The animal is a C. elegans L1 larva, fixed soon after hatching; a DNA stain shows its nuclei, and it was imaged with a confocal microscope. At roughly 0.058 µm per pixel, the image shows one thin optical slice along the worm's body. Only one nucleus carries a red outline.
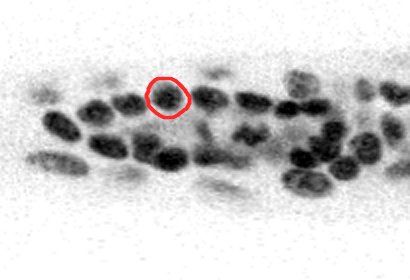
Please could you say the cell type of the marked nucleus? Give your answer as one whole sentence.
It is the nucleus of an arcade cell.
